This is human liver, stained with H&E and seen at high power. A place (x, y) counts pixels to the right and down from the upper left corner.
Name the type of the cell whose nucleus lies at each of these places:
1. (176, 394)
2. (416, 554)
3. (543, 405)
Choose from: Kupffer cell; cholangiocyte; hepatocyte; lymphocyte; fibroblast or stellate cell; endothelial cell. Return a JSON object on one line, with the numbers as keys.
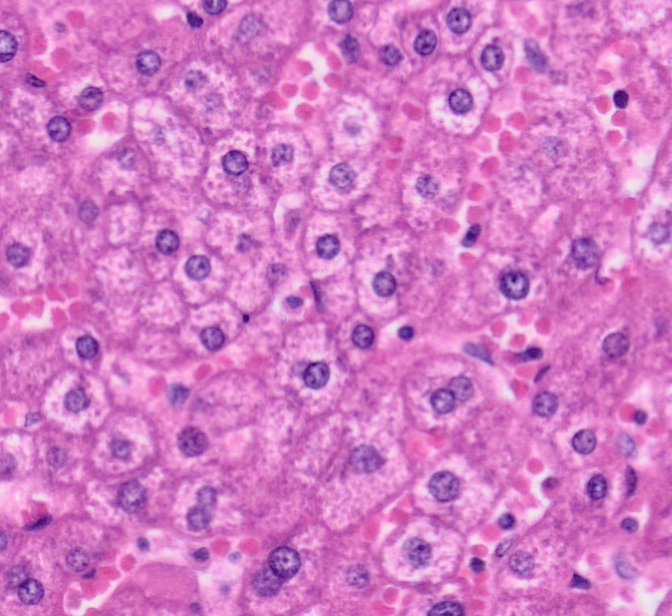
{"1": "endothelial cell", "2": "hepatocyte", "3": "hepatocyte"}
